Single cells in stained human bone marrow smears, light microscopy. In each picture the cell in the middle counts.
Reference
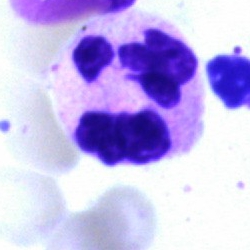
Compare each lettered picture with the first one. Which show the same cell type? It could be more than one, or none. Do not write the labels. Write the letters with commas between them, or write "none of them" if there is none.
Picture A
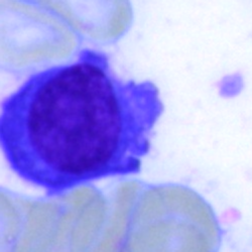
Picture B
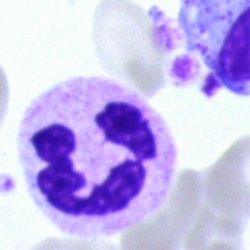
B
